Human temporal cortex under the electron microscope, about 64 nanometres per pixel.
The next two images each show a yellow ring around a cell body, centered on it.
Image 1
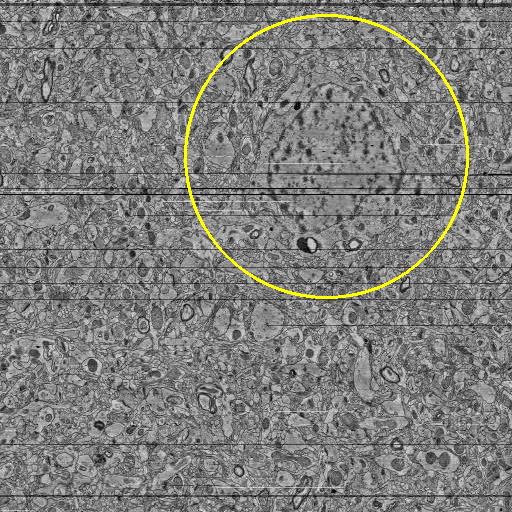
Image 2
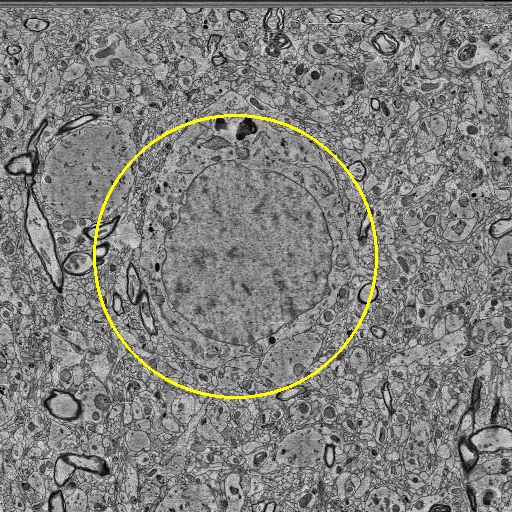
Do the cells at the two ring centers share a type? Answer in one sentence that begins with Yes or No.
No, across the two images the cells at the ring centers are of two types.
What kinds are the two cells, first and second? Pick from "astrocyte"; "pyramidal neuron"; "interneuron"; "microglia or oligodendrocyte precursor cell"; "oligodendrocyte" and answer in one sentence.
The second picture holds a pyramidal neuron in its ring, and the first holds an interneuron.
